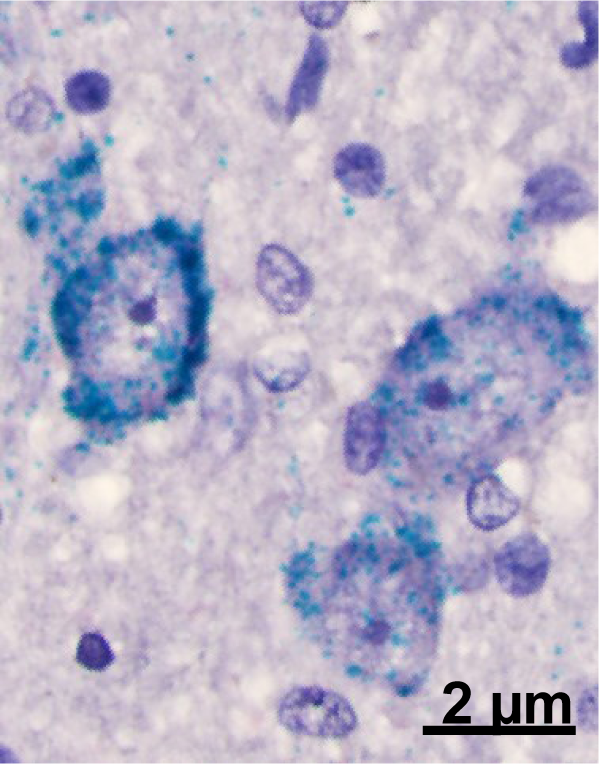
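The neuron on the left has a round central nucleus with a dark dot of a nucleolus, ringed by the blue-green dots. Around these neurons lie small dark purple nuclei and paler oval nuclei, in a pale background studded with small clear holes.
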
